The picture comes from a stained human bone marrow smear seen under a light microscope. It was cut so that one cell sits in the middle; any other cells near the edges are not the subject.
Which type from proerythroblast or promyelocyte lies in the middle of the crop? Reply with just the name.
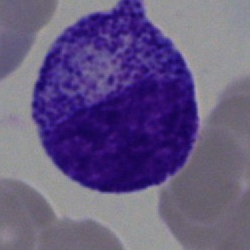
promyelocyte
